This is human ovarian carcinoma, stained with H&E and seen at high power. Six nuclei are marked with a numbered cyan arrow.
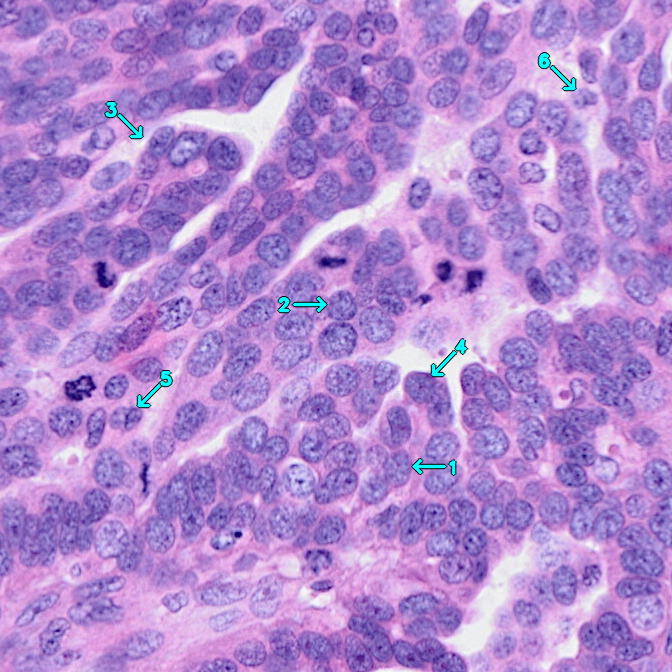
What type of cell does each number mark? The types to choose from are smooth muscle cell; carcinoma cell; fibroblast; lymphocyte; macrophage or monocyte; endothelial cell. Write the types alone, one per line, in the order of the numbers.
carcinoma cell
carcinoma cell
carcinoma cell
carcinoma cell
macrophage or monocyte
macrophage or monocyte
